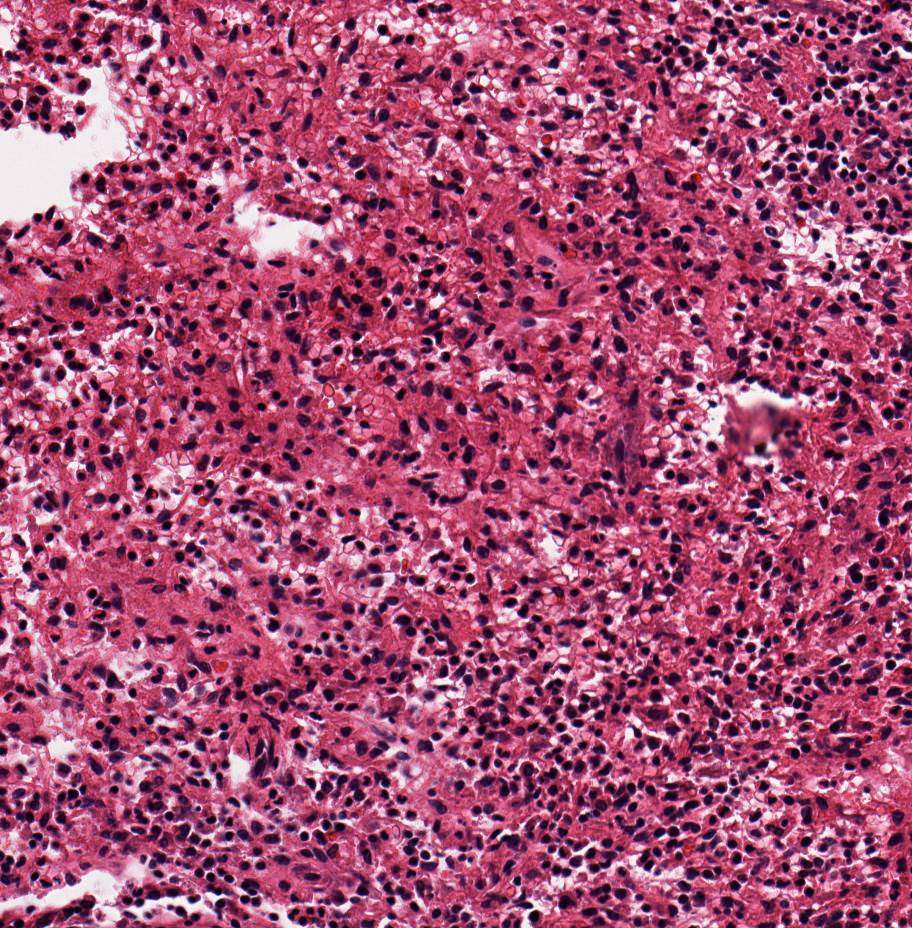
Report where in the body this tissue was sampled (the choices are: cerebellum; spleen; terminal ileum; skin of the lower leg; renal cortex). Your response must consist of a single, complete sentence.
This tissue section originates from the spleen.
